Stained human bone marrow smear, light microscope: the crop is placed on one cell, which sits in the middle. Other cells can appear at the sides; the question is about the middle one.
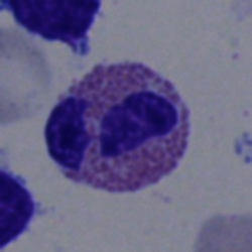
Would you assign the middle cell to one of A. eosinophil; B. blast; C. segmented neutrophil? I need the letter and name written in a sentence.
Option A is correct; the cell in the middle is an eosinophil.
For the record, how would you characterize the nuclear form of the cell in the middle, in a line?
Two or more lobes make up the nucleus of this cell.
